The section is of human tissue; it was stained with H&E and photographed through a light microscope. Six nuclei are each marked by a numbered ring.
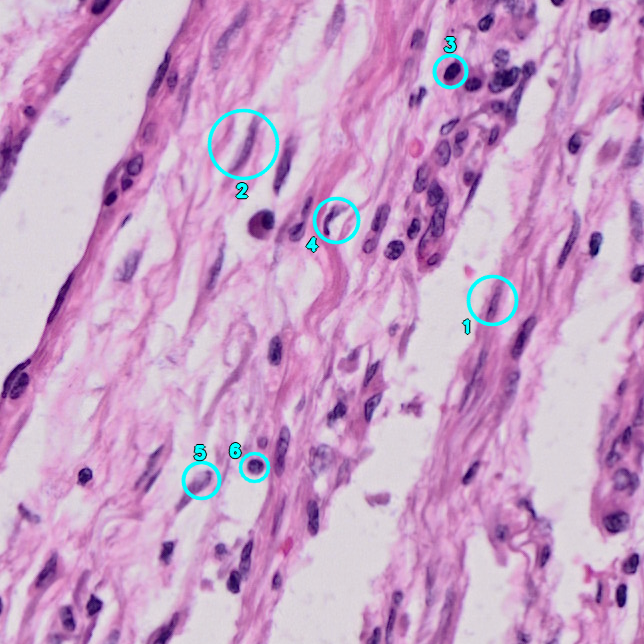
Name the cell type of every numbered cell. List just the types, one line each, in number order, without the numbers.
macrophage or monocyte
fibroblast or myofibroblast
plasma cell
fibroblast or myofibroblast
fibroblast or myofibroblast
lymphocyte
